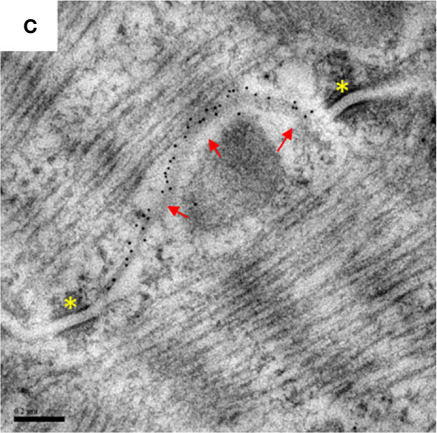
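Intercalated disc between two cardiac muscle cells at high magnification. A folded junctional membrane runs across the field, with striated myofilament bundles on either side. At two ends of the field the membrane carries dense dark plaques on both cytoplasmic faces, the desmosomes. A rounded dense profile sits beside the labelled segment.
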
